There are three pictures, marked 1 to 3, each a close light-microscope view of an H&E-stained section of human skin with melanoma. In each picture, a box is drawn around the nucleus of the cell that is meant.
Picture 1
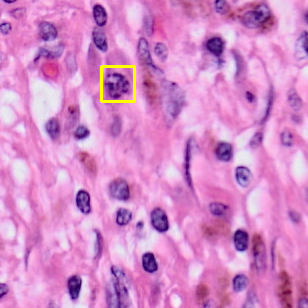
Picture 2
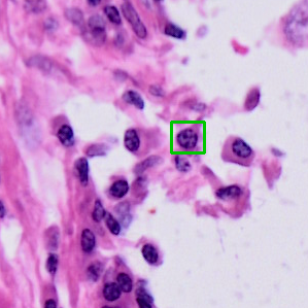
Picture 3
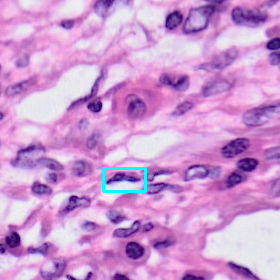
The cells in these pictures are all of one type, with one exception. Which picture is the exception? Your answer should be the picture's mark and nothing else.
3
